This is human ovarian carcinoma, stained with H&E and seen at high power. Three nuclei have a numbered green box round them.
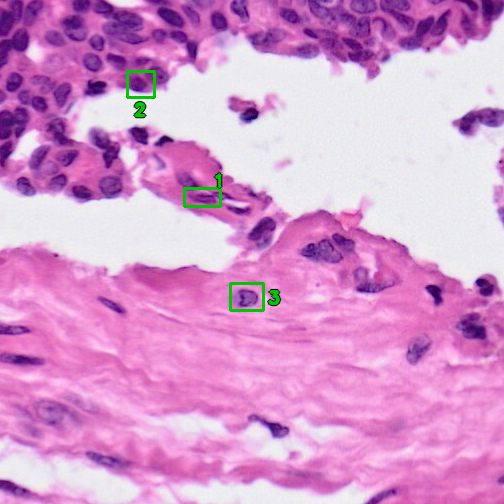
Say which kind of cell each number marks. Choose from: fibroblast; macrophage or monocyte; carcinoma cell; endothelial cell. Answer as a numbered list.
1. endothelial cell
2. carcinoma cell
3. macrophage or monocyte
